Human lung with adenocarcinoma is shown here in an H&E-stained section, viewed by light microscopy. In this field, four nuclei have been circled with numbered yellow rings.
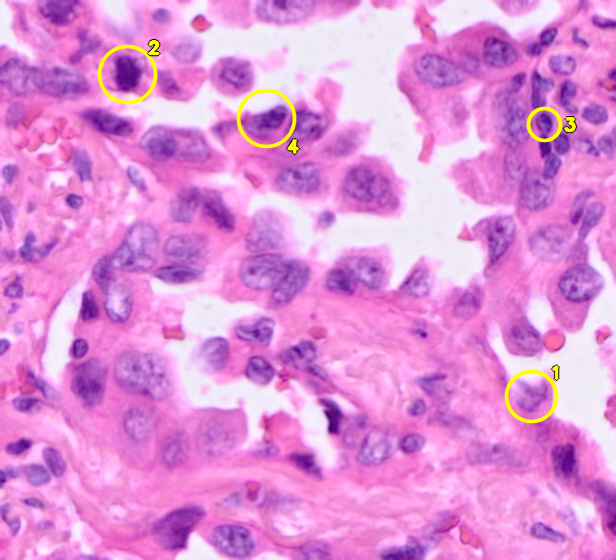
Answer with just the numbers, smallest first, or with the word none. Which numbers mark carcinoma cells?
1, 2, 4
